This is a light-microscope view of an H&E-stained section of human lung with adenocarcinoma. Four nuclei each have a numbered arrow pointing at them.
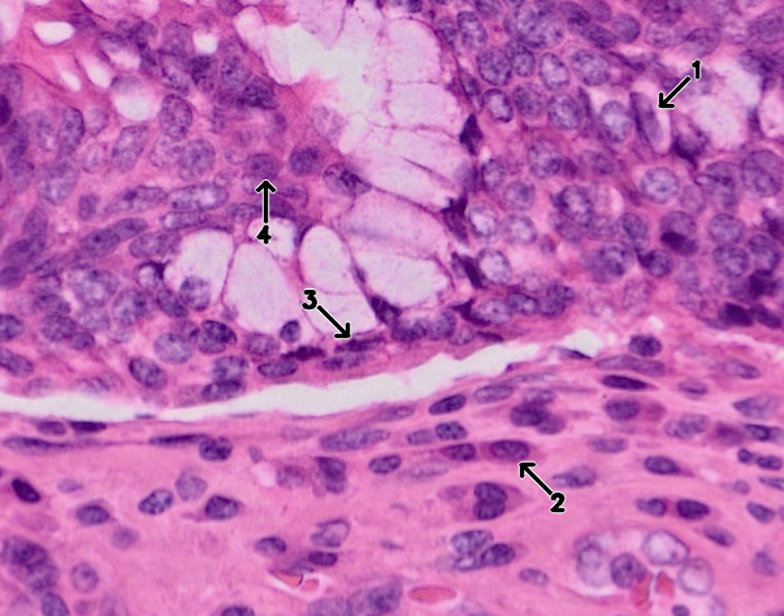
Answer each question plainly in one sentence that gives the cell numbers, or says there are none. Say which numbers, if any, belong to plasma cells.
The cell labelled 2 is a plasma cell, while the remaining numbered cells are not.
